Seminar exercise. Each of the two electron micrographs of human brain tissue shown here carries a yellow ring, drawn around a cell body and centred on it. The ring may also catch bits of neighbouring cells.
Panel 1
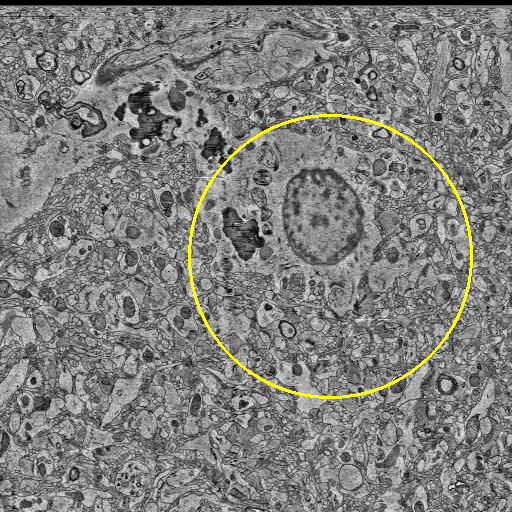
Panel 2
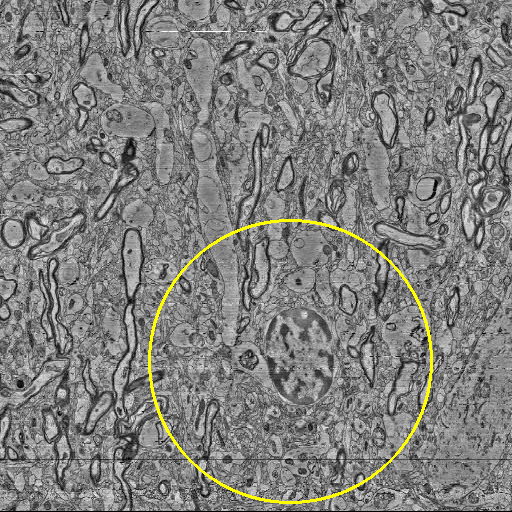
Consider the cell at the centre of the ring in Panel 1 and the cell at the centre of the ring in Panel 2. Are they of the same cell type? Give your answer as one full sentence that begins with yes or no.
No, the two cells are of two types.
